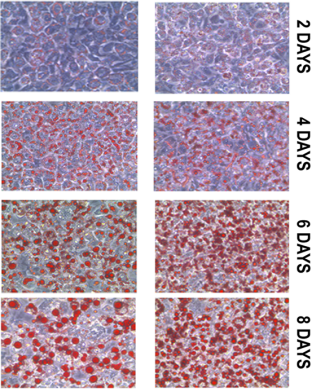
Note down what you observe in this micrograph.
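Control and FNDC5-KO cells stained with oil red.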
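A grid of small views shows a dense layer of cultured cells with a blue background stain, in which many cells hold small round droplets stained bright red. In some views the red droplets are few and faint among mostly blue cells, while in others they are numerous and crowd much of the field. The droplets sit within the cell bodies as clusters of round red spots.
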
